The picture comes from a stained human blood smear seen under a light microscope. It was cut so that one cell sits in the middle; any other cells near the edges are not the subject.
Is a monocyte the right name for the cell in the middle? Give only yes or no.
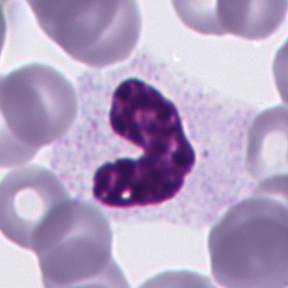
no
